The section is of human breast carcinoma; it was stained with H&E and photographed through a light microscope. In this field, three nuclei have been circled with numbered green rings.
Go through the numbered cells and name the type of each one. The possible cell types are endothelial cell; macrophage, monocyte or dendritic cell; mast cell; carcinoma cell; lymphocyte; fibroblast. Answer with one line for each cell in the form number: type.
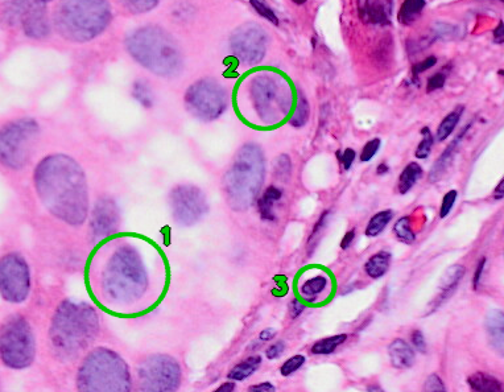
1: carcinoma cell
2: carcinoma cell
3: lymphocyte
